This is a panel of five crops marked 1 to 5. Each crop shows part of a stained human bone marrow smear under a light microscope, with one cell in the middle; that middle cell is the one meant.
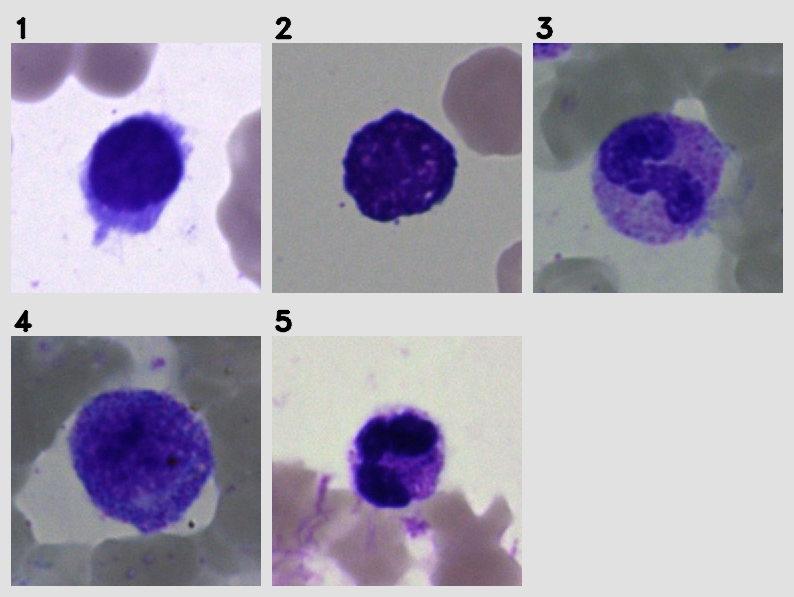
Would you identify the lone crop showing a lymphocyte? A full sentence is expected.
Among the crops given, only crop 1 shows a lymphocyte.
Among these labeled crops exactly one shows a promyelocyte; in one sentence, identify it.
Crop 4 is the crop that displays a promyelocyte.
